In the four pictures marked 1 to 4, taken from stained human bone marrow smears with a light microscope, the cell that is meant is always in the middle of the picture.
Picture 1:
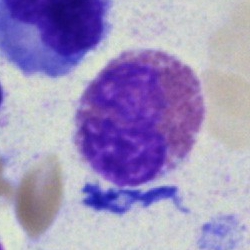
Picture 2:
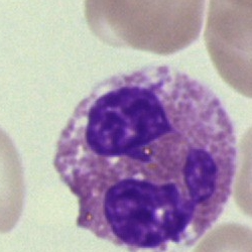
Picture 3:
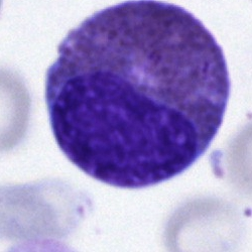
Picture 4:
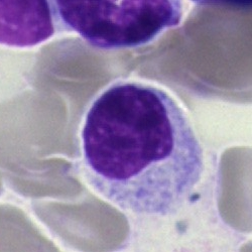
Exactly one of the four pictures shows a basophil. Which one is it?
1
